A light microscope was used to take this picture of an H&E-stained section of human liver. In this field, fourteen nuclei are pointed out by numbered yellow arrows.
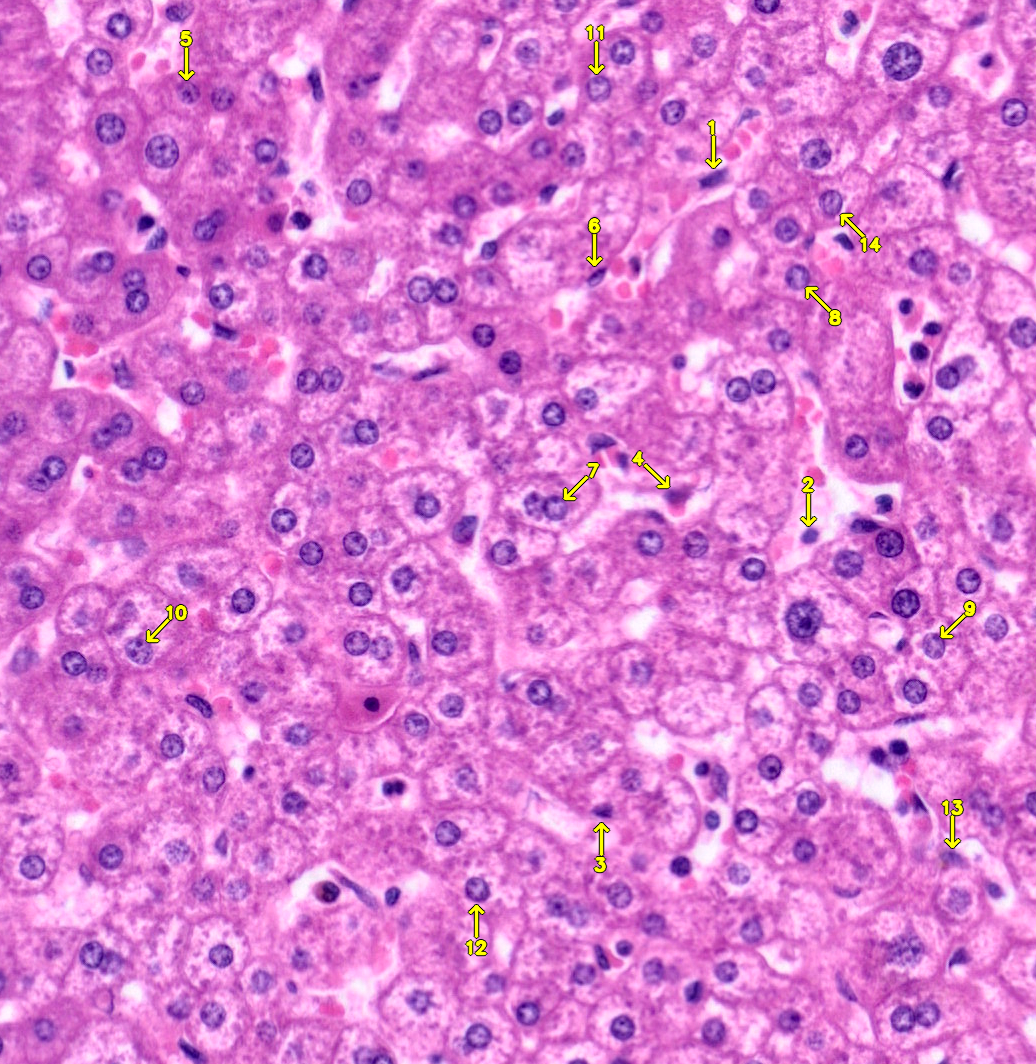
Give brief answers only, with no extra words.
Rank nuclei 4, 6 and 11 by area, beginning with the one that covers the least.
6, 4, 11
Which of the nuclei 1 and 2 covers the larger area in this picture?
1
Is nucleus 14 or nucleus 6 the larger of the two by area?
14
